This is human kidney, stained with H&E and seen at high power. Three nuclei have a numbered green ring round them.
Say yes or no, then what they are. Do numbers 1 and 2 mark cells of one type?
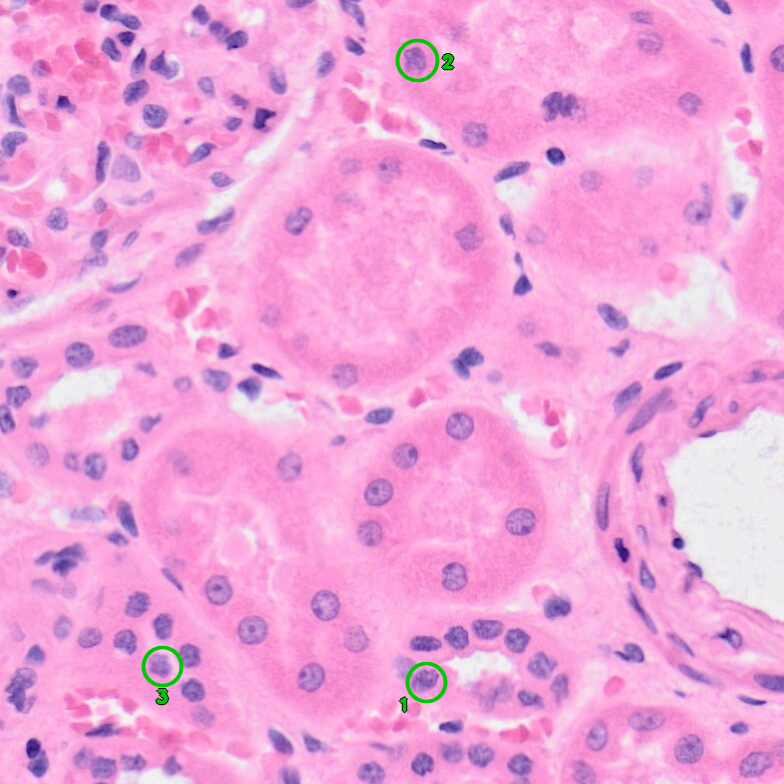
No, listen: cell 1 is a collecting duct cell and cell 2 is a proximal tubule cell.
